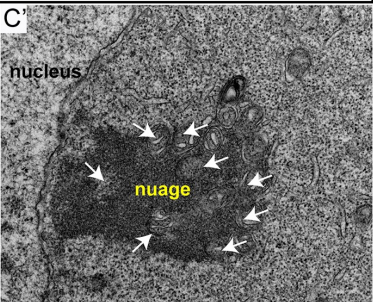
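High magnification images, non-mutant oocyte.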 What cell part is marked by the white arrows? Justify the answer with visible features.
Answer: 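Arrows point to small oval membrane-bound organelles. The organelles show internal membrane folds. They sit around the rim of a dark amorphous mass next to the nucleus.
Conclusion: mitochondria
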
